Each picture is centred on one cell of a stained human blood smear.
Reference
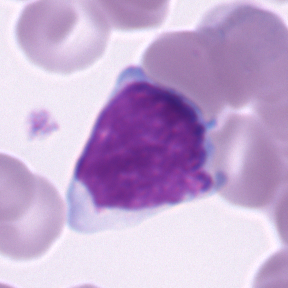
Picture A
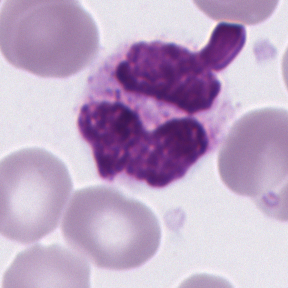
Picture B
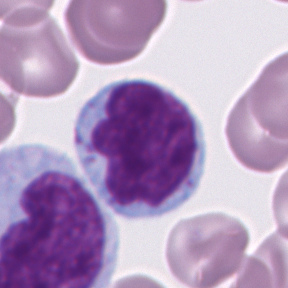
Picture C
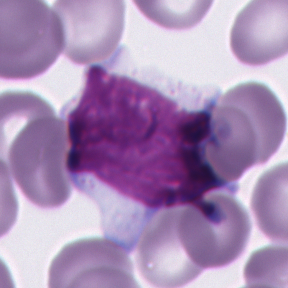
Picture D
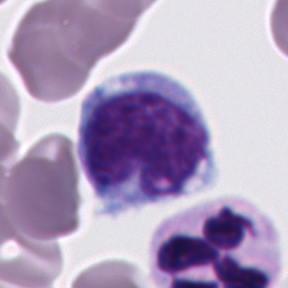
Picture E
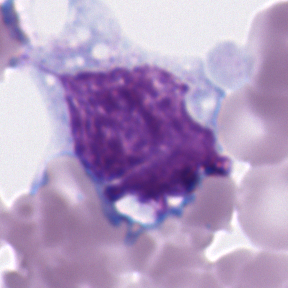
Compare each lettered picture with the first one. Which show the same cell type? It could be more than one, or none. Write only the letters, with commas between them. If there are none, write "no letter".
B, C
